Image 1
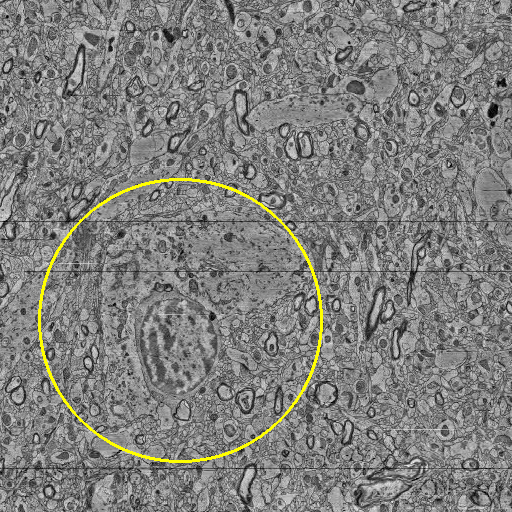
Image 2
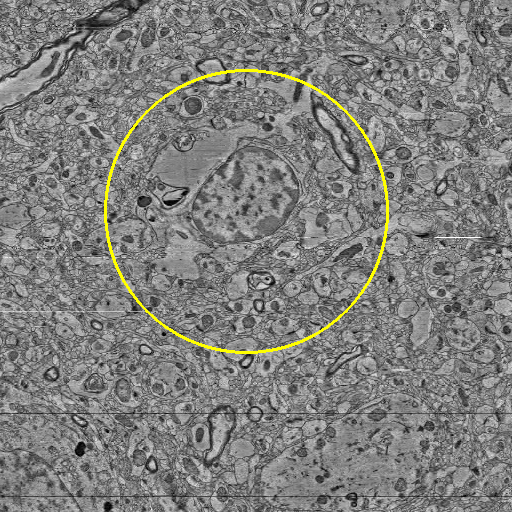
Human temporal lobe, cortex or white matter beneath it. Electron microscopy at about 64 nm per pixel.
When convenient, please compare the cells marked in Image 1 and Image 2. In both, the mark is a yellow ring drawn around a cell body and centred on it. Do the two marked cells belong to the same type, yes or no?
no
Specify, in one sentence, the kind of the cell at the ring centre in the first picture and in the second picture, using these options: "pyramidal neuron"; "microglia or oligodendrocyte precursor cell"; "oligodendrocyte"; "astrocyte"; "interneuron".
So the first is an oligodendrocyte, the second a microglial cell or oligodendrocyte precursor cell.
